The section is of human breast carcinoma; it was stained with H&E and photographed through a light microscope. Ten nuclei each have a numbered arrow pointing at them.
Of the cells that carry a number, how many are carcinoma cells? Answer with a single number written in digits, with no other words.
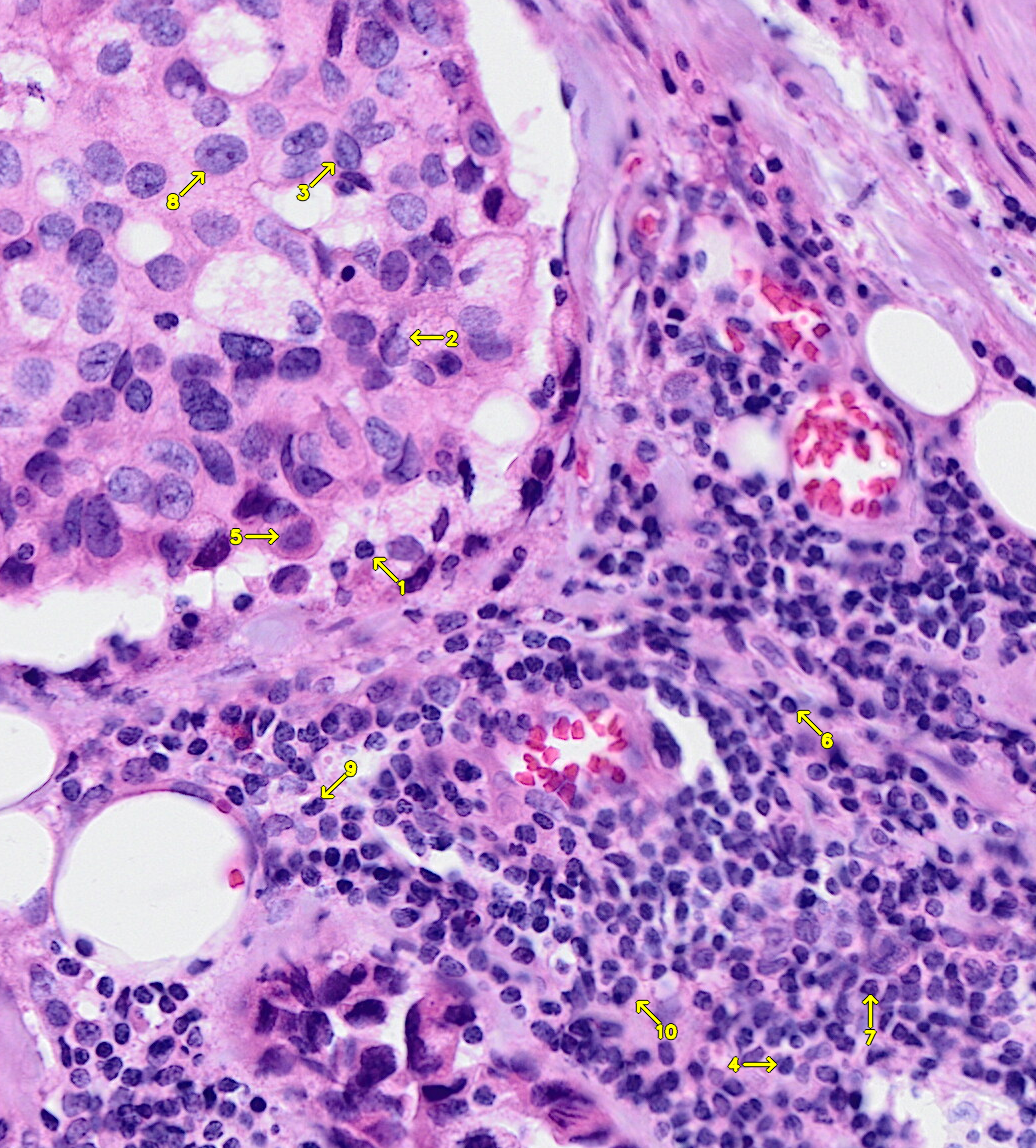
4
